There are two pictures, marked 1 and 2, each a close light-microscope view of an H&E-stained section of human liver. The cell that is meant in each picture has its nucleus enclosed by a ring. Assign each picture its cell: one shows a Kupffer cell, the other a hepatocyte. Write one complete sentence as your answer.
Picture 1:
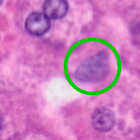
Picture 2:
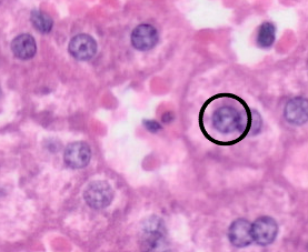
Picture 1 is of a Kupffer cell, and picture 2 is of a hepatocyte.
